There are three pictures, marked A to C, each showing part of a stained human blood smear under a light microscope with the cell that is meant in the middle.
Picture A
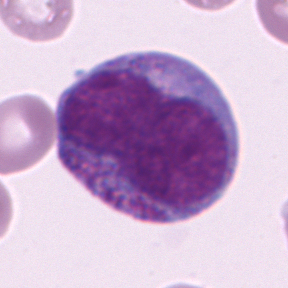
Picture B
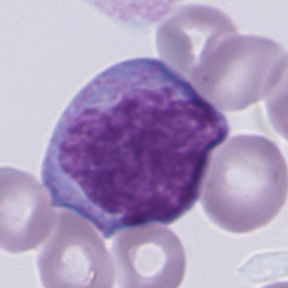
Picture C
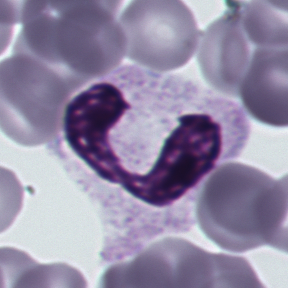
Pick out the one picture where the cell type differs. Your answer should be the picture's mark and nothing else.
C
